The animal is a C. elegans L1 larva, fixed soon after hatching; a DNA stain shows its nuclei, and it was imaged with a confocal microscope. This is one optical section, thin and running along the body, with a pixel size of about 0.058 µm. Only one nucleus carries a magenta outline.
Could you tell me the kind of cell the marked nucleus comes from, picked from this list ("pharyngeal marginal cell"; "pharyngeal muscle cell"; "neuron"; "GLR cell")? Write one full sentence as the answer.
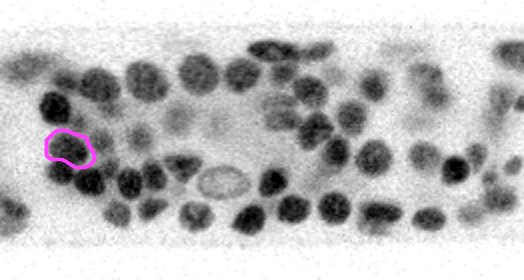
It belongs to a GLR cell.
